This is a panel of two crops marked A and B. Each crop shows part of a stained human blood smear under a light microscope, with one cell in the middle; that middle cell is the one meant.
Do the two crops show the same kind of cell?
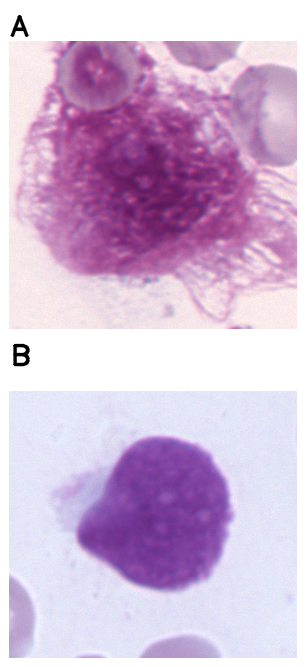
yes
